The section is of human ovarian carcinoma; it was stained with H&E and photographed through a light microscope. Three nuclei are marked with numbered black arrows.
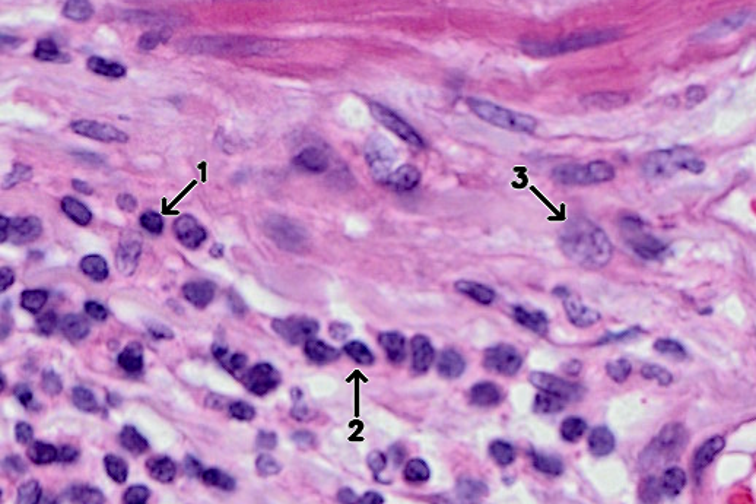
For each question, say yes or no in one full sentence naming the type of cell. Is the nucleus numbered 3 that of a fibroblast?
Yes, the cell that the number 3 labels is a fibroblast.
